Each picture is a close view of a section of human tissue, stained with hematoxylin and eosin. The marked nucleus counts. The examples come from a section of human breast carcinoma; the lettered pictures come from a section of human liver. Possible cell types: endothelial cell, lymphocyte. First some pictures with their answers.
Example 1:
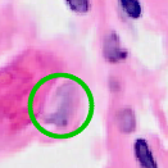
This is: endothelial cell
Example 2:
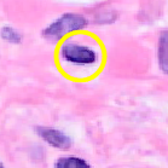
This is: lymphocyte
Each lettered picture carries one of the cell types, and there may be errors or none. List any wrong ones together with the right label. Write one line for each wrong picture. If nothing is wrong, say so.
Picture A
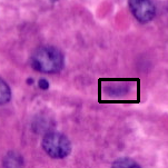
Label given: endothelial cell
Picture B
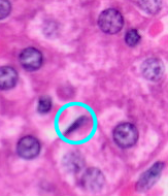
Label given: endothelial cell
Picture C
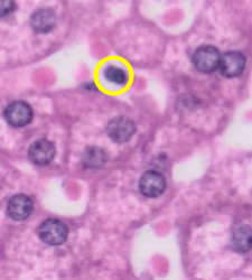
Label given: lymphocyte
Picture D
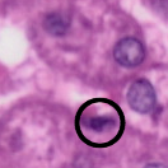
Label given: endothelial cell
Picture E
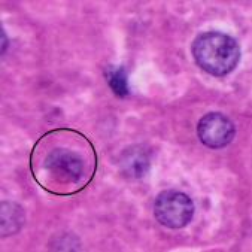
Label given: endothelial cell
No label is wrong.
